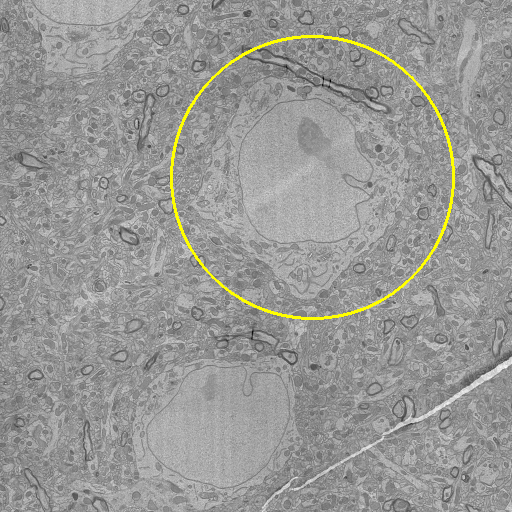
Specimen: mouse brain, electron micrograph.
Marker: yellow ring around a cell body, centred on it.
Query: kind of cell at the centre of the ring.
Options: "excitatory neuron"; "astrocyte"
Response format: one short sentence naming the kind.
This cell body belongs to an excitatory neuron.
